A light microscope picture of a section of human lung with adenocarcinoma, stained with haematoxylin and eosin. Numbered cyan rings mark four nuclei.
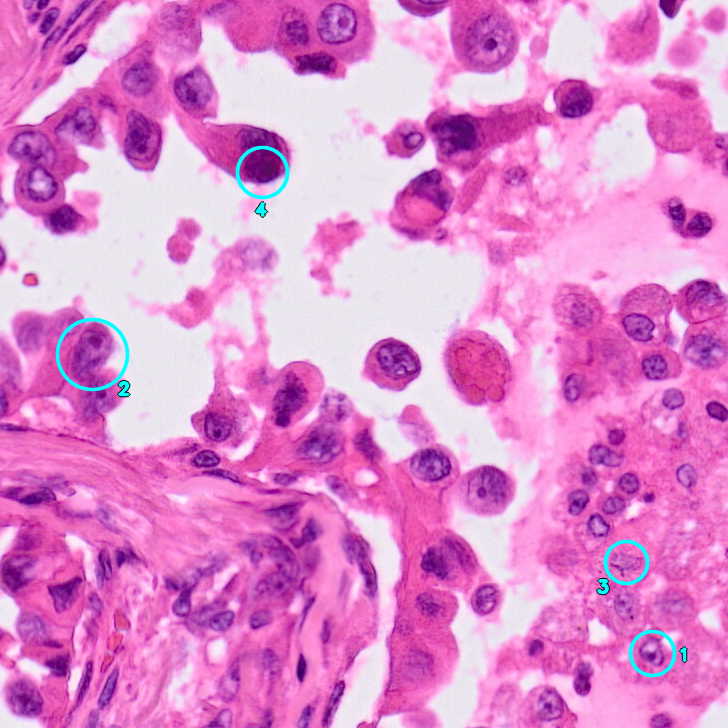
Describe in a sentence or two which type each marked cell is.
Cells 1 and 3 are macrophages or monocytes. Cells 2 and 4 are carcinoma cells.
